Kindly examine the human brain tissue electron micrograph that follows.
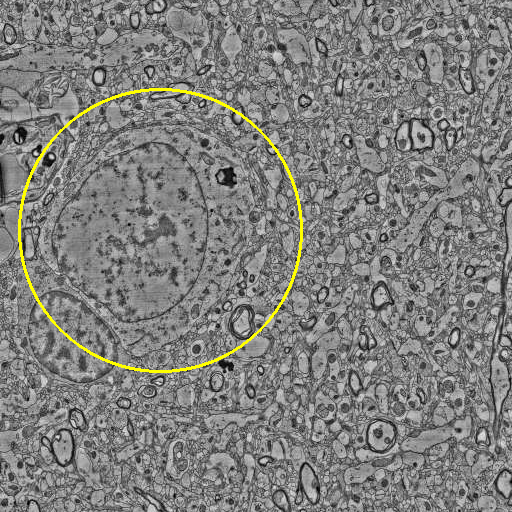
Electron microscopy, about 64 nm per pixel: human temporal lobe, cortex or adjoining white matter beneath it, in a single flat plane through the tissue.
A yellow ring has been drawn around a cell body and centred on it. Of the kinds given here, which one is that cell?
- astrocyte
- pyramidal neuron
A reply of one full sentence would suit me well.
The micrograph's ringed cell, the one at the ring's centre, is a pyramidal neuron.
